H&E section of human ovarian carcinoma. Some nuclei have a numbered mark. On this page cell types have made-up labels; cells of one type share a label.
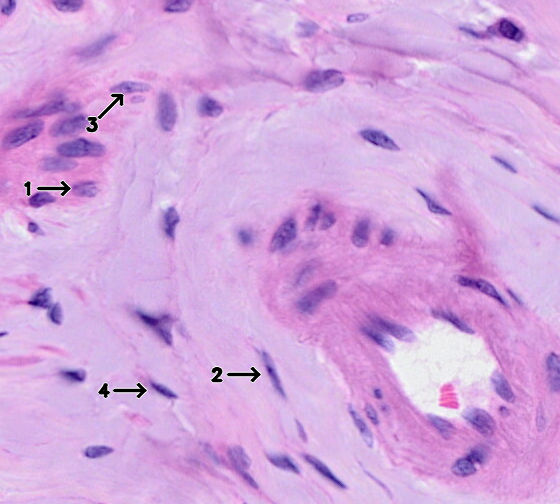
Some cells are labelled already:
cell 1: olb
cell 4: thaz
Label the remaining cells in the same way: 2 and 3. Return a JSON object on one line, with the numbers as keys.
{"2": "thaz", "3": "olb"}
